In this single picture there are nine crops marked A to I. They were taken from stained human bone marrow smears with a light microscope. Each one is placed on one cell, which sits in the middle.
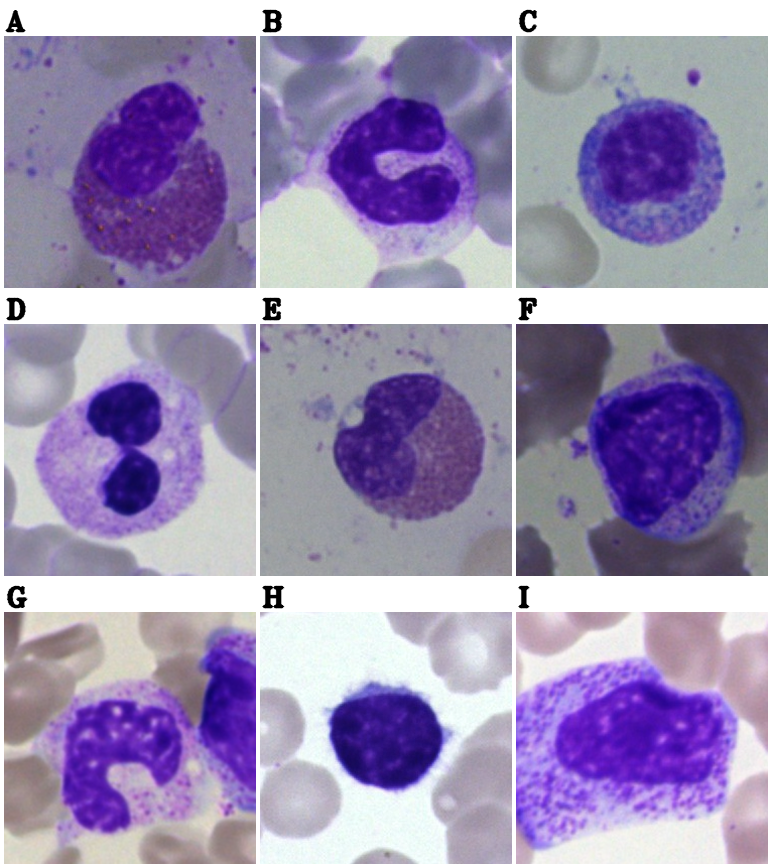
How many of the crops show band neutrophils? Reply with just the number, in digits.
2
